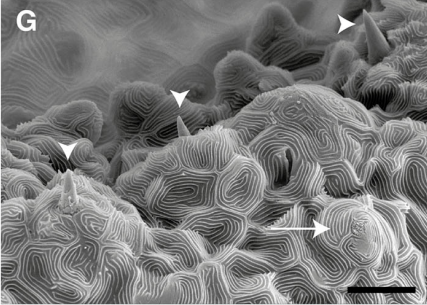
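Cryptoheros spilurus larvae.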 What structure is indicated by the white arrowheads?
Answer: teeth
